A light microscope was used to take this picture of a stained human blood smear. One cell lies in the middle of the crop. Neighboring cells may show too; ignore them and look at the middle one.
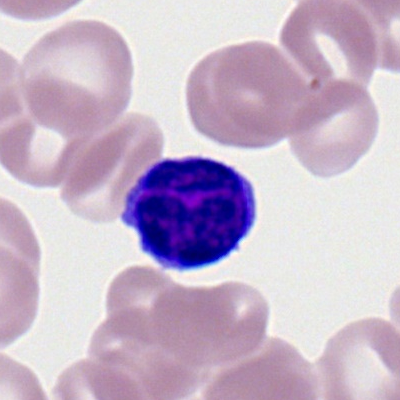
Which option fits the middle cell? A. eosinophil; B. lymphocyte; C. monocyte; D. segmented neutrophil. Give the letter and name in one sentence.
Option B holds, for the cell in the middle is a lymphocyte.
